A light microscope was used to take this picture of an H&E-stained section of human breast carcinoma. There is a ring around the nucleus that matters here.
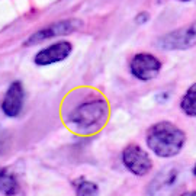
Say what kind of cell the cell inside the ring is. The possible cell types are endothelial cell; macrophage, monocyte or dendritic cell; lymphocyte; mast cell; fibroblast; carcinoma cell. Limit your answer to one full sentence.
To be brief about it, the cell inside the ring is a macrophage, monocyte or dendritic cell.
